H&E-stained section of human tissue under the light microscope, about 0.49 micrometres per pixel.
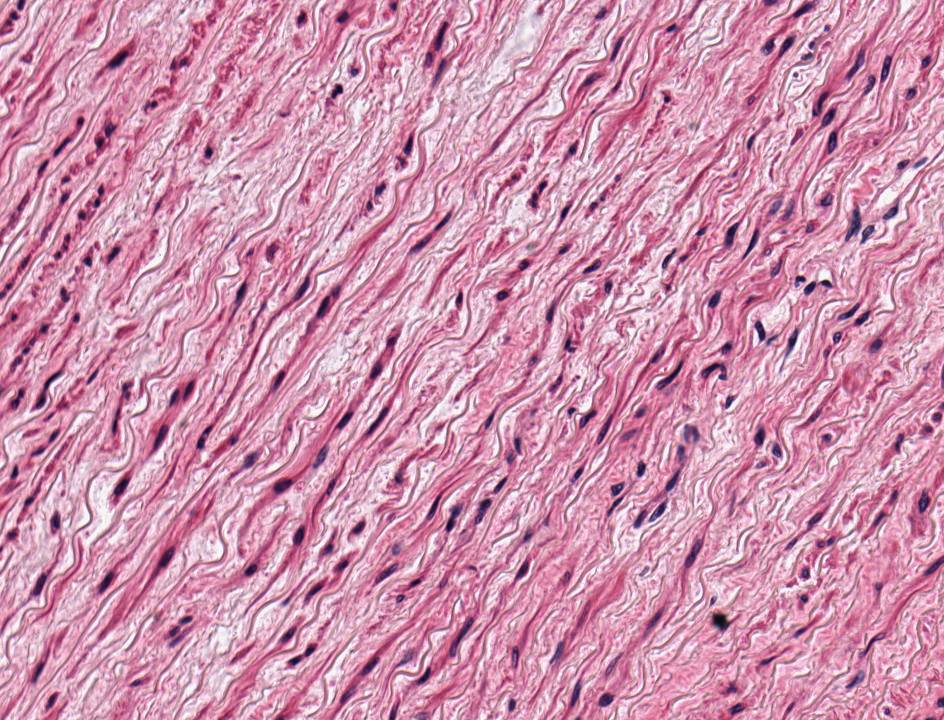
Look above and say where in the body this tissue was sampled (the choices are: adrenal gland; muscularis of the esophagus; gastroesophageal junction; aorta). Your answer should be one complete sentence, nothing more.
From the aorta was taken the tissue in this section.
